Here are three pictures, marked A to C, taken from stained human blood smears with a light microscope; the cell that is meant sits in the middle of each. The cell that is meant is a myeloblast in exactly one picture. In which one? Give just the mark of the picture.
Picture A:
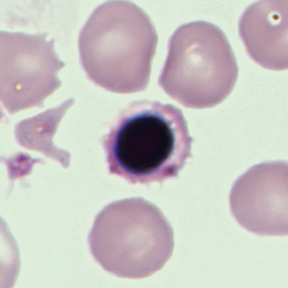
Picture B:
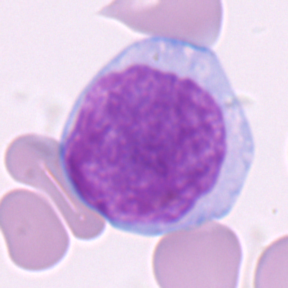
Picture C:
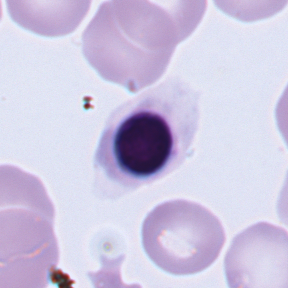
B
